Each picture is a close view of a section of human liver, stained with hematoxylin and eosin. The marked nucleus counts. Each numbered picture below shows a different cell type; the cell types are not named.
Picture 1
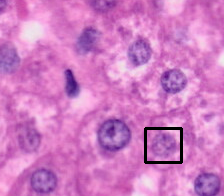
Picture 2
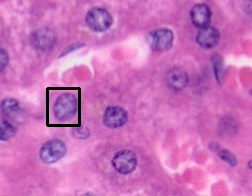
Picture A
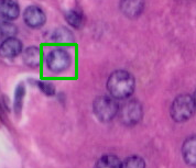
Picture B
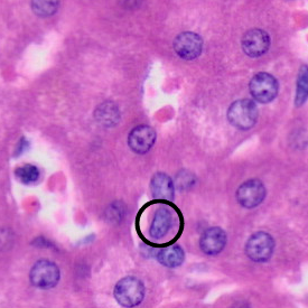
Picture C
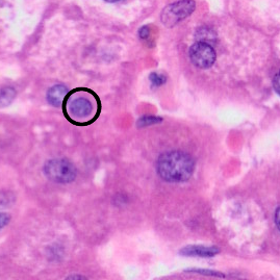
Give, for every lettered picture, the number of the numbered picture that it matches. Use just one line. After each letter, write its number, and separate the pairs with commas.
A 2, B 2, C 2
